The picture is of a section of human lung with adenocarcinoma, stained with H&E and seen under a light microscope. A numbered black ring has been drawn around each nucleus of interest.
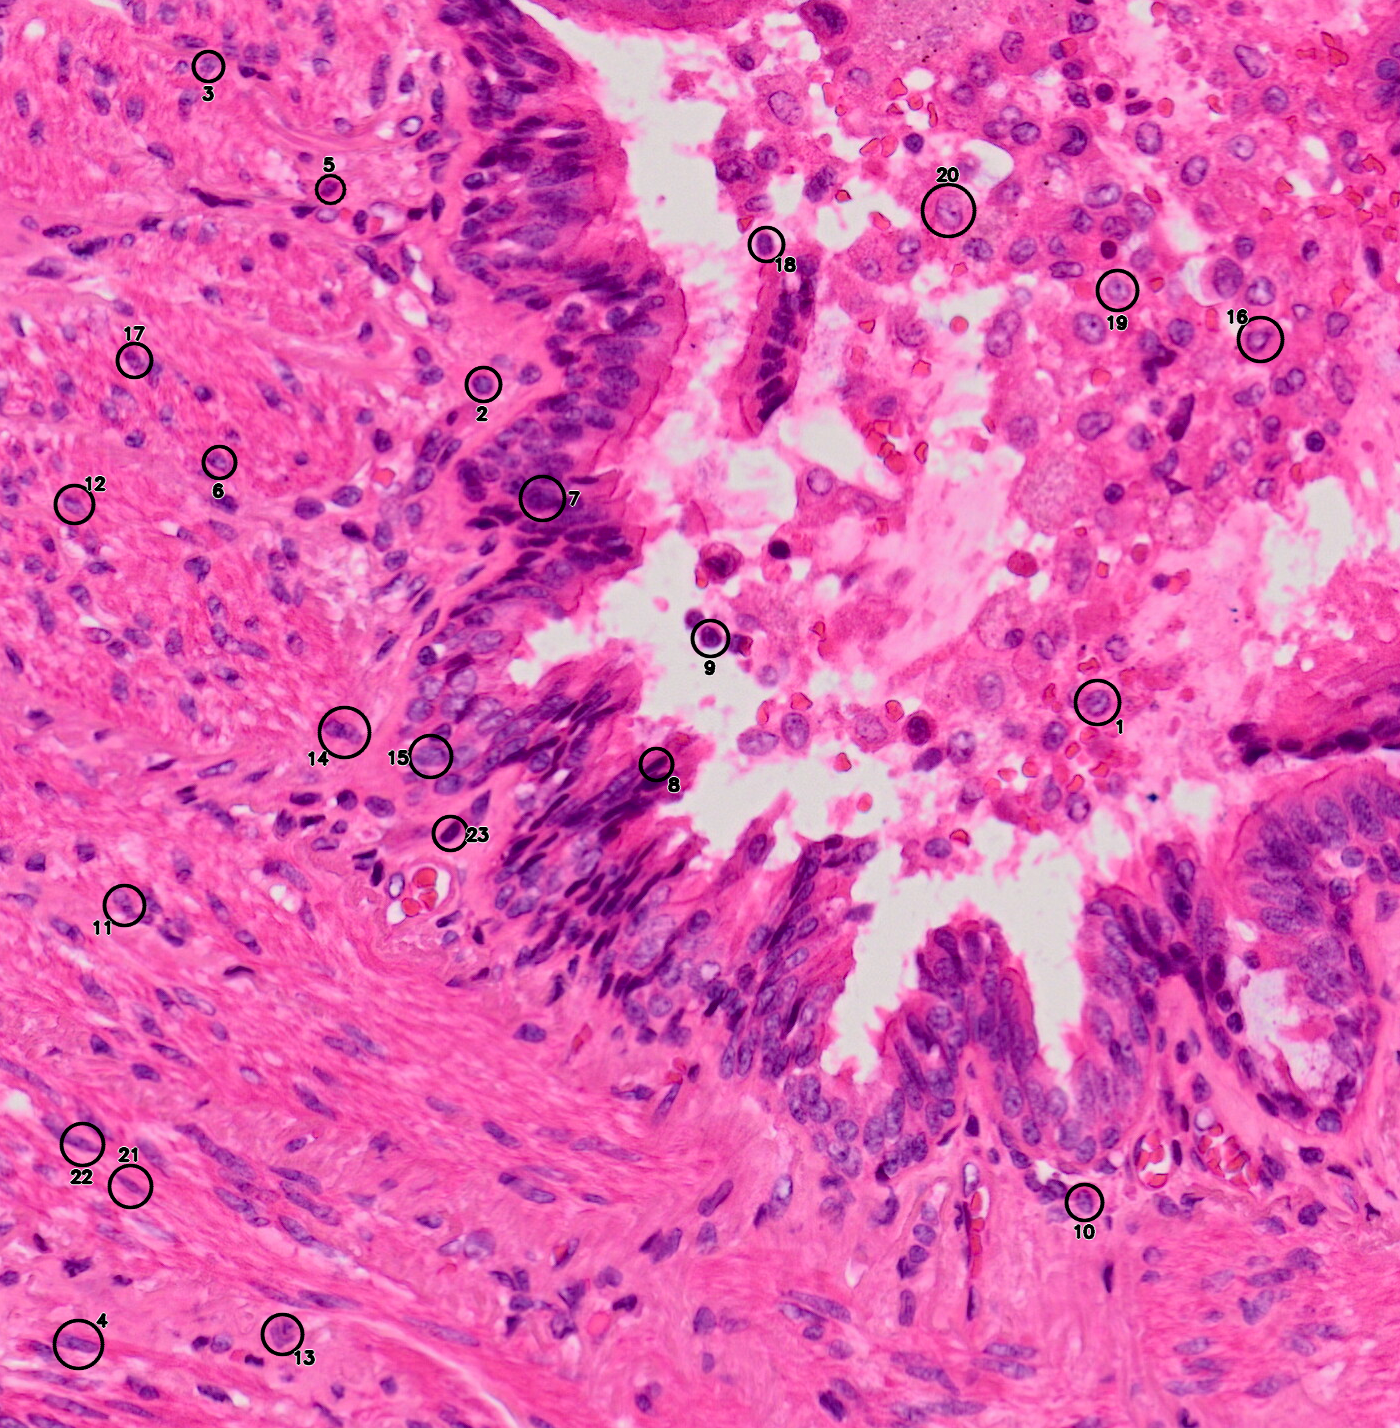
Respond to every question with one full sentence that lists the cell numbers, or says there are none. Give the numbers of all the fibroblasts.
Among the numbered cells, a fibroblast occurs only once, as cell 13.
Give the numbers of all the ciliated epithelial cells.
The cells 7, 8 and 15 in this section are ciliated epithelial cells.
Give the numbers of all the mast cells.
The cells numbered 2, 5 and 10 are identified as mast cells.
